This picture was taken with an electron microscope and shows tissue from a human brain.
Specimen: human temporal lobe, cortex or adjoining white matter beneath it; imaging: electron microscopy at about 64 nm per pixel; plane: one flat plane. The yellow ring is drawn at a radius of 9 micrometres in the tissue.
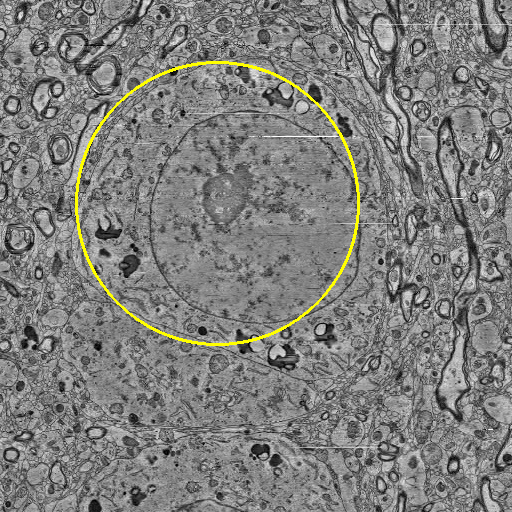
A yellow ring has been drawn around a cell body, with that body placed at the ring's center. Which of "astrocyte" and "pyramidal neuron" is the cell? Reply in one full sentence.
In this picture, a pyramidal neuron is the cell at the center of the yellow ring.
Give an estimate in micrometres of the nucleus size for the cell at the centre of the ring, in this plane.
The nucleus is approximately 14 micrometers across in this plane.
